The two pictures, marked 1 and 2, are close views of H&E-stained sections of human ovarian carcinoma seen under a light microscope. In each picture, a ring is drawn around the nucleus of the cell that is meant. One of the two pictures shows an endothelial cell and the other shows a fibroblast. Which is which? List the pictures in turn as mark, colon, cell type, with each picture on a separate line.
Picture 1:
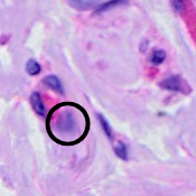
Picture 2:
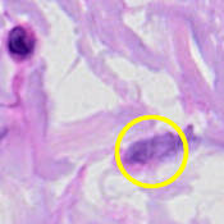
1: endothelial cell
2: fibroblast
